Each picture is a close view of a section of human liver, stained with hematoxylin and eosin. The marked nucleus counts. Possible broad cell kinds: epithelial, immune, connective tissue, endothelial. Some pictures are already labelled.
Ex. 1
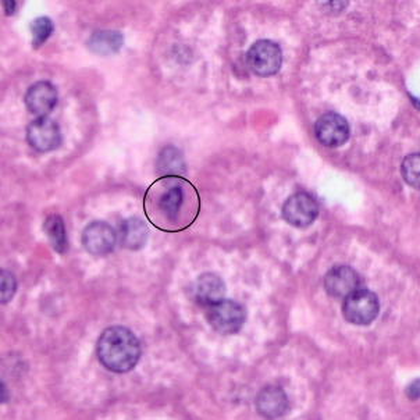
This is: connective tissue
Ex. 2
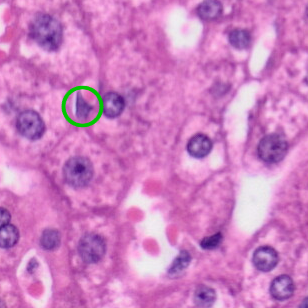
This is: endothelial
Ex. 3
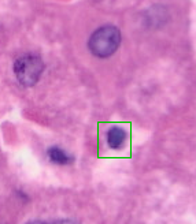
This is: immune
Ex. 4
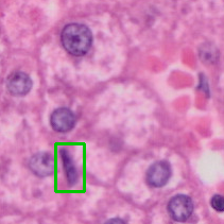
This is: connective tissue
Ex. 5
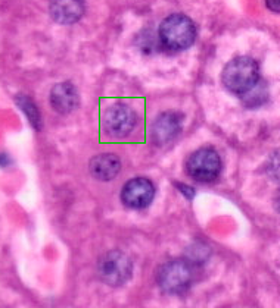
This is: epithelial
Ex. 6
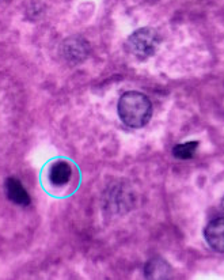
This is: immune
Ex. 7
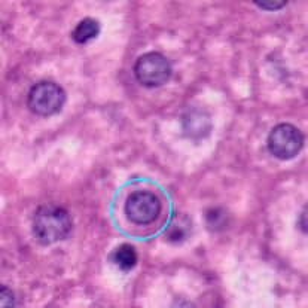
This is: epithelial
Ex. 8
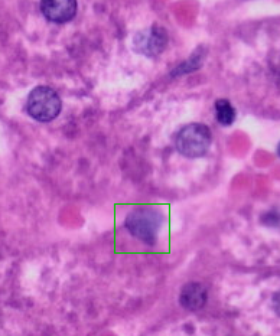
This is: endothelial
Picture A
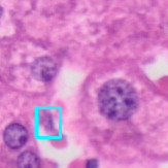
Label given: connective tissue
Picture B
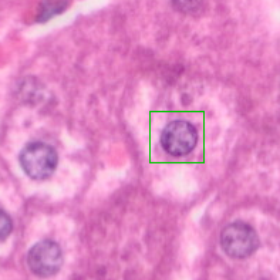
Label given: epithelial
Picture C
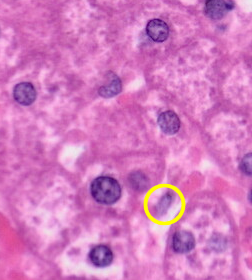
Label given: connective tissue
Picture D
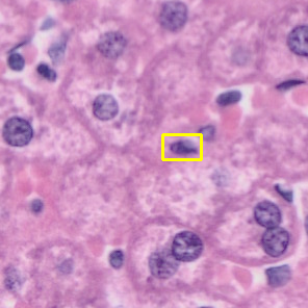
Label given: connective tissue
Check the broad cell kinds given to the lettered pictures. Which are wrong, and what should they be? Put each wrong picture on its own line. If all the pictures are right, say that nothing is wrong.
A: immune, not connective tissue
C: immune, not connective tissue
